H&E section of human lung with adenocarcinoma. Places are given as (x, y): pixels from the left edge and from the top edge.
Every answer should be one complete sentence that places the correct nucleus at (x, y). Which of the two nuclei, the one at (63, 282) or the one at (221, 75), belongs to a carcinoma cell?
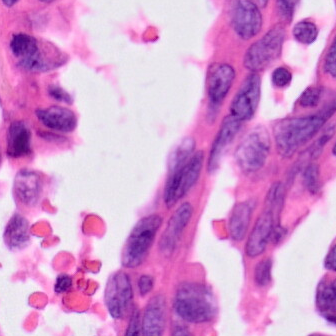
The nucleus of a carcinoma cell is the one found at (221, 75), not the other.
